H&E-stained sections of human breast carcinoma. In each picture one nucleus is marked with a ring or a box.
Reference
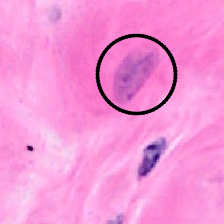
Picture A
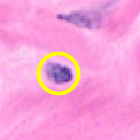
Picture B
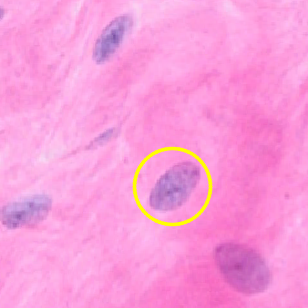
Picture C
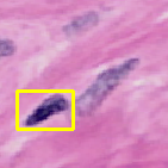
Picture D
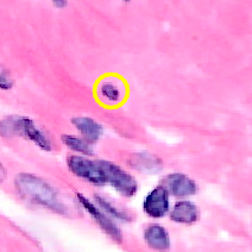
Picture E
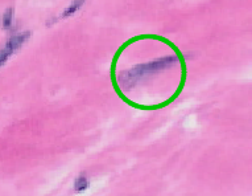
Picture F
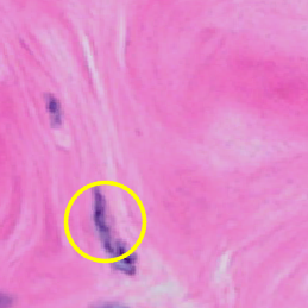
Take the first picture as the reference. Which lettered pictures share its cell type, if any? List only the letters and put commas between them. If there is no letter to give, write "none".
B, E, F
